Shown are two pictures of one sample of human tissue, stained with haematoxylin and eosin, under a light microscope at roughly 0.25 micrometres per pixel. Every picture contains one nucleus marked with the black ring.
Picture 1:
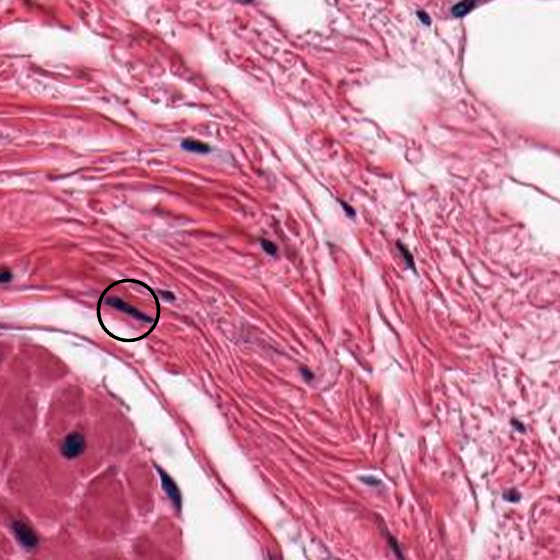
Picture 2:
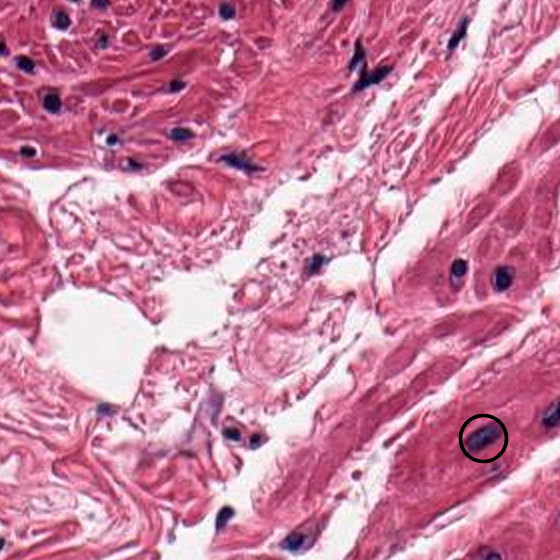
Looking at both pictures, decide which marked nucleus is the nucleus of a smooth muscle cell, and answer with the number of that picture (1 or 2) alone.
2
